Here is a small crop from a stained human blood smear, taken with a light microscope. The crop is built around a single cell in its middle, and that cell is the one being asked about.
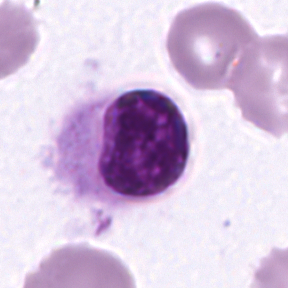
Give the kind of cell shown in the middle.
plasma cell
